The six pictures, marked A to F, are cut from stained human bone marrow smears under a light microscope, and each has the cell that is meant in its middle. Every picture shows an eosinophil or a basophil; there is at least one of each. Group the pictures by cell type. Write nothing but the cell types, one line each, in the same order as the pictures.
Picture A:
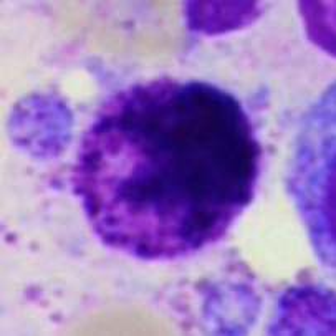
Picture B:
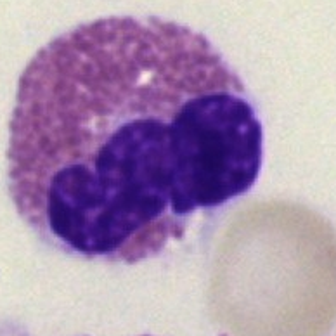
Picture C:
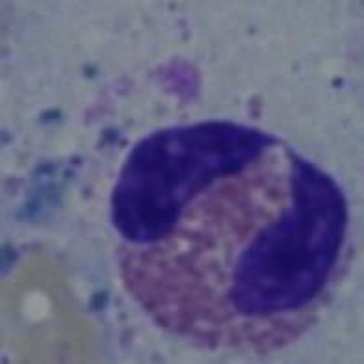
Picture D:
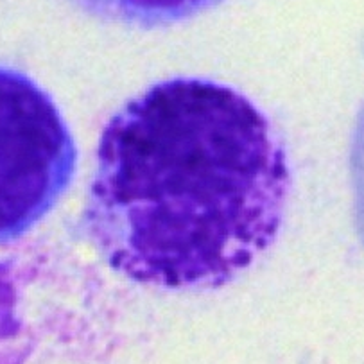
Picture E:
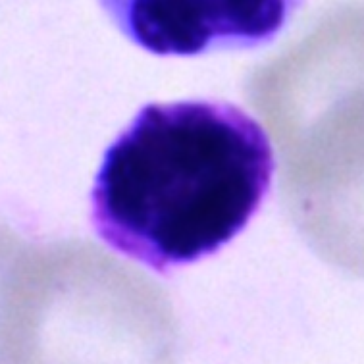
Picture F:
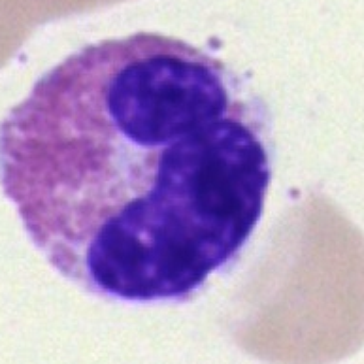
basophil
eosinophil
eosinophil
basophil
basophil
basophil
